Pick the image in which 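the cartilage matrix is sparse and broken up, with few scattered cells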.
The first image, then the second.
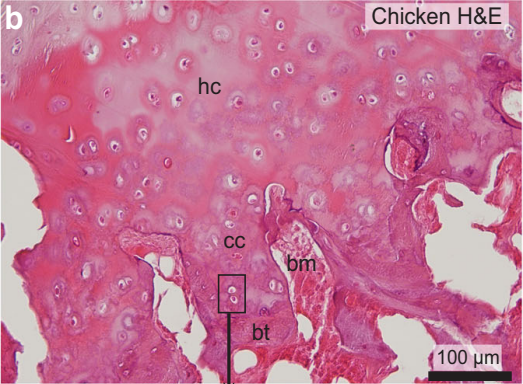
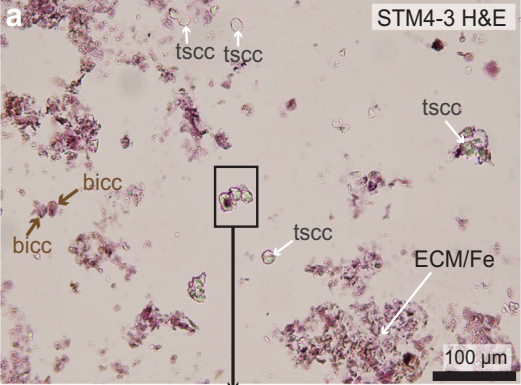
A: the second image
